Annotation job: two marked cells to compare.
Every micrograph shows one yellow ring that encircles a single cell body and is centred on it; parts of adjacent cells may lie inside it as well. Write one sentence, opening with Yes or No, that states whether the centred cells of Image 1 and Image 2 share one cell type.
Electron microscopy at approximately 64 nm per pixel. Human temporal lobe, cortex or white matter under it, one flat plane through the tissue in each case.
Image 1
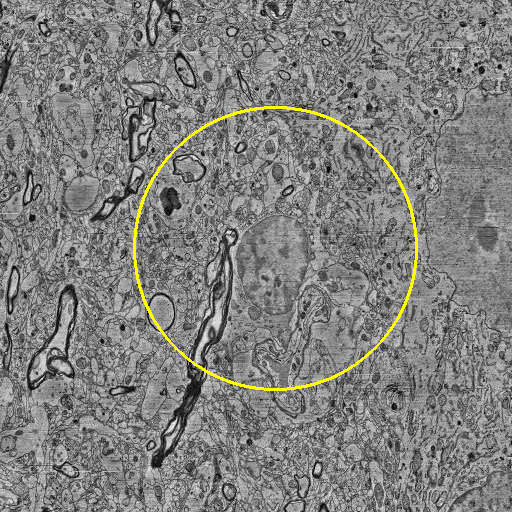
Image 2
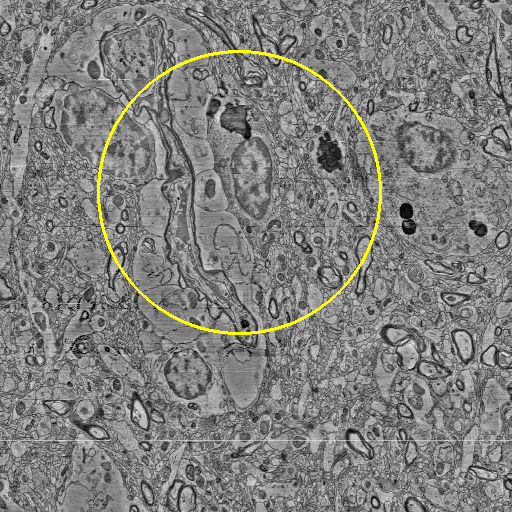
Yes, the cell centred in Image 1 shares its type with the cell centred in Image 2.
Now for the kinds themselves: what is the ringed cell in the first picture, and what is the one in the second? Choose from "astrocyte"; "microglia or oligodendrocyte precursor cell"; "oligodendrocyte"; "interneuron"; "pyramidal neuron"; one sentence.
In each picture the ringed cell is an oligodendrocyte.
